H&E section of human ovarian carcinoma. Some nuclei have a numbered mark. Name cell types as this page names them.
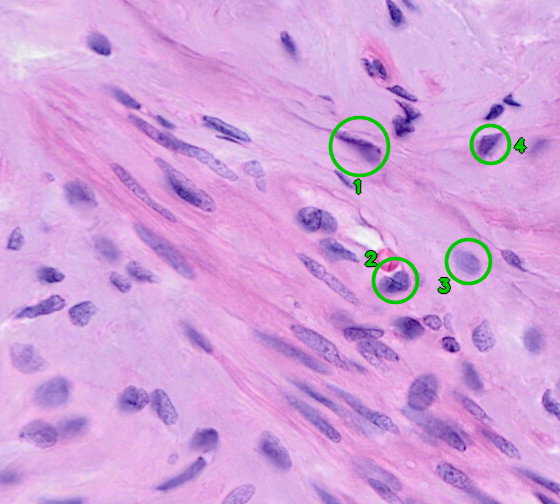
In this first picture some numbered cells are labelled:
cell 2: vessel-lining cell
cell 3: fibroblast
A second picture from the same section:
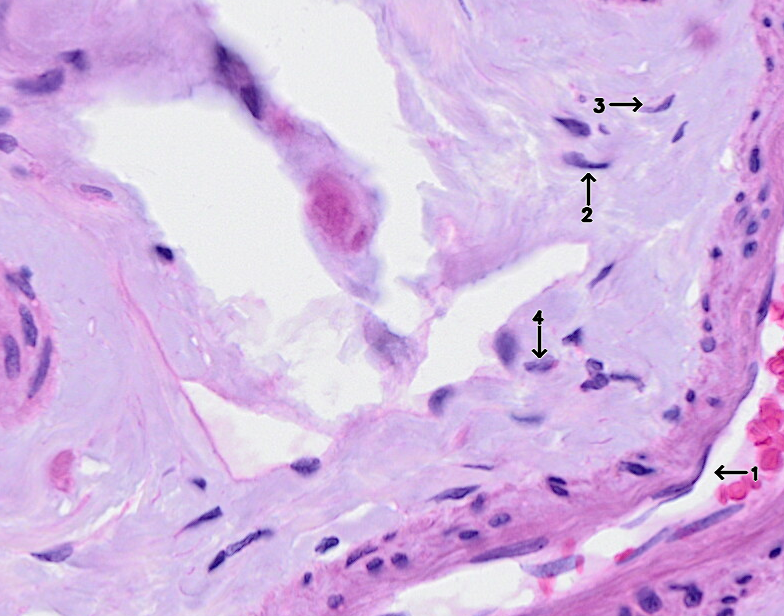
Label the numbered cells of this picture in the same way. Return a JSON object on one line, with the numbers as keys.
{"1": "vessel-lining cell", "2": "fibroblast", "3": "fibroblast", "4": "fibroblast"}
